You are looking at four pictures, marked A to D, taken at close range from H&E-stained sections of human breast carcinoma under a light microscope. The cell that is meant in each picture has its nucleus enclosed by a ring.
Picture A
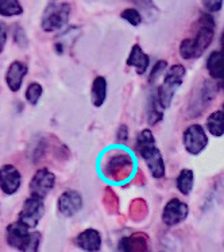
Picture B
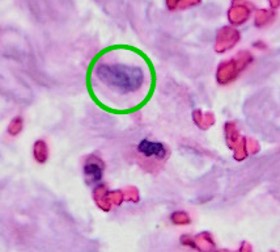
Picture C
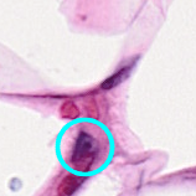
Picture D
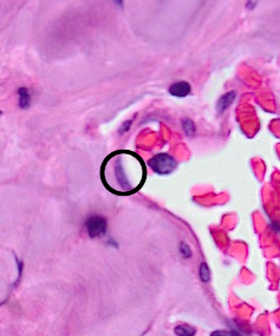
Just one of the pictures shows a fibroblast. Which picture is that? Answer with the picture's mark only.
B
